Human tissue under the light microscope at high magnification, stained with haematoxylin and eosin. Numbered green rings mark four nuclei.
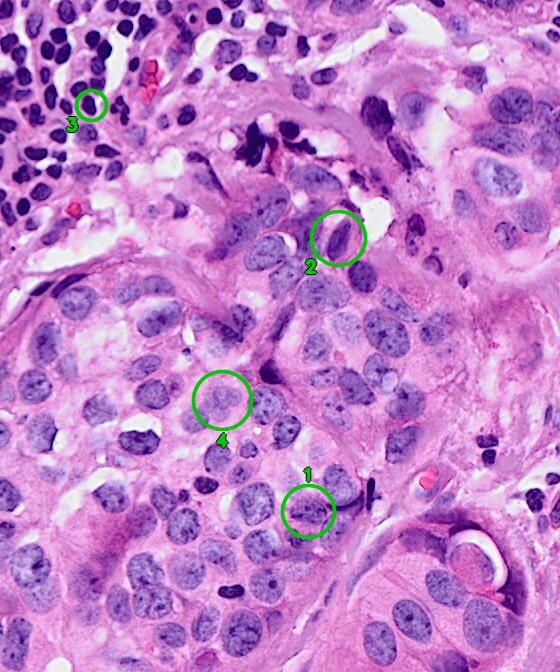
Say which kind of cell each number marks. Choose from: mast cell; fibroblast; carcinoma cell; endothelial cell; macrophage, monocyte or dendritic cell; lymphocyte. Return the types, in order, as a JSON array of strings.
["carcinoma cell", "carcinoma cell", "lymphocyte", "carcinoma cell"]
